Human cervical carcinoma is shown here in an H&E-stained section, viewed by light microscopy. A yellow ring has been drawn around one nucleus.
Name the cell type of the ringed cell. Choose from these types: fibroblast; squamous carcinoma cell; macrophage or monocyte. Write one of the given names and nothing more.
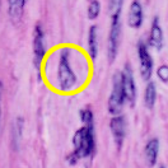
fibroblast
